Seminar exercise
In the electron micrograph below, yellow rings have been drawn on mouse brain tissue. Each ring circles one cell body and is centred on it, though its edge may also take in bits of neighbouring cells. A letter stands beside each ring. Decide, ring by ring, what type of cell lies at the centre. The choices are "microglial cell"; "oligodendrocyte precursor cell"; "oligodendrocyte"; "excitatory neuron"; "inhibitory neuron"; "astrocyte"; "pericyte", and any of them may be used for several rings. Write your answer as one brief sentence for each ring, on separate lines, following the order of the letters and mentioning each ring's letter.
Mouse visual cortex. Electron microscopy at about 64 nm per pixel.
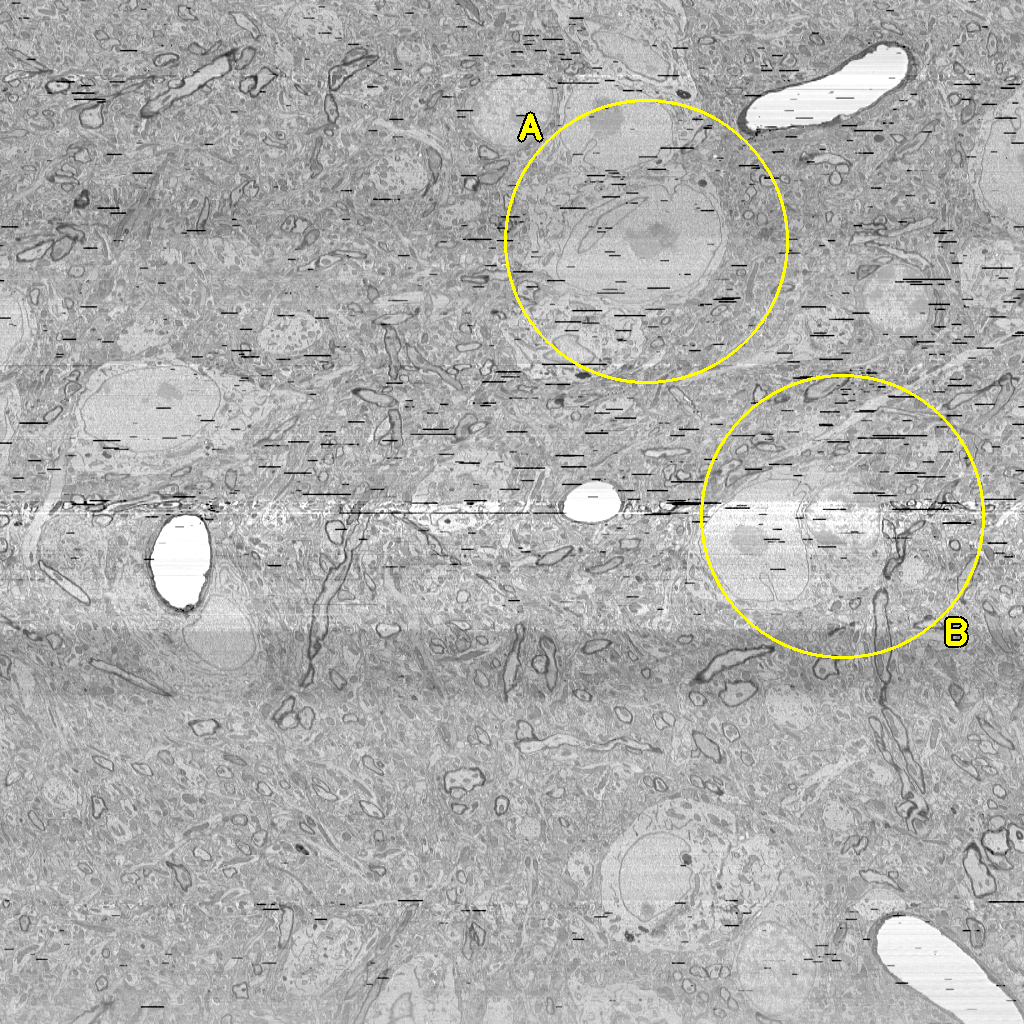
The cell in the middle of ring A is an excitatory neuron.
The cell in the middle of ring B is an oligodendrocyte.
